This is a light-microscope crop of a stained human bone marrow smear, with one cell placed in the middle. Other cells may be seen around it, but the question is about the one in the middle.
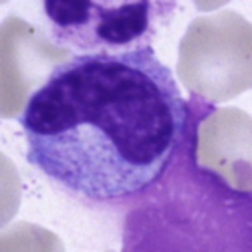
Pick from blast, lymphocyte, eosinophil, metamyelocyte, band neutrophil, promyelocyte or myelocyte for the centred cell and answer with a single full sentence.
In the crop, the cell of interest at the centre is a metamyelocyte.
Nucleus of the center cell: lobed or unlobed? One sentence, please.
Its nucleus is compact and single, with a round, oval or kidney-shaped form.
